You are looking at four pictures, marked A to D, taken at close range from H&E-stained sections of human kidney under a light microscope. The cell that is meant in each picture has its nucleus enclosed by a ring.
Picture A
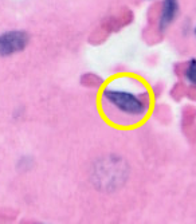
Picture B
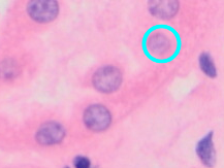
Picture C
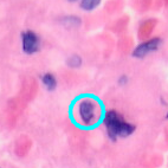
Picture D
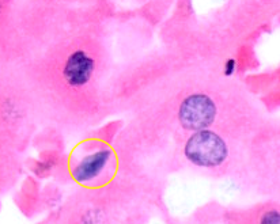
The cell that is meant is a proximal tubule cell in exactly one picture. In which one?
B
